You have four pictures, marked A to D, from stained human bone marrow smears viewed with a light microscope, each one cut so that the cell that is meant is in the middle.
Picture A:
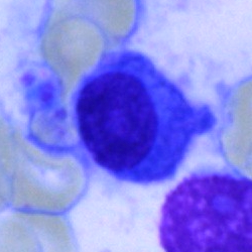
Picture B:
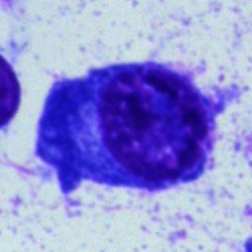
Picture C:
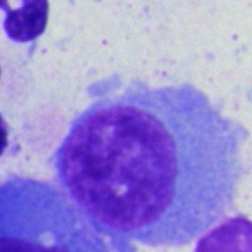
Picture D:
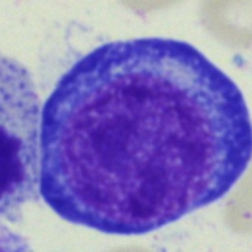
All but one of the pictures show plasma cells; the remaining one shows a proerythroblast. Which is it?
D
